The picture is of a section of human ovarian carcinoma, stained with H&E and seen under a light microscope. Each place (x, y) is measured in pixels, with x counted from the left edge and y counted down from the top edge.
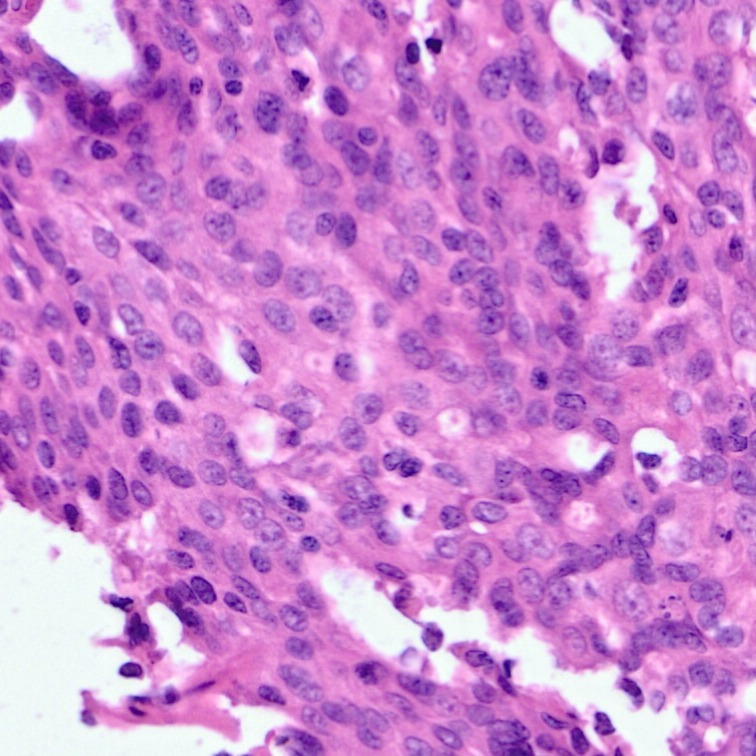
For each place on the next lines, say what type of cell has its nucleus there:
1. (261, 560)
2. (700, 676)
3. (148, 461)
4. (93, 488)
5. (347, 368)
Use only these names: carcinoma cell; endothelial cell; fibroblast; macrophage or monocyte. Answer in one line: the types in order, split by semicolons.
macrophage or monocyte; carcinoma cell; carcinoma cell; carcinoma cell; macrophage or monocyte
